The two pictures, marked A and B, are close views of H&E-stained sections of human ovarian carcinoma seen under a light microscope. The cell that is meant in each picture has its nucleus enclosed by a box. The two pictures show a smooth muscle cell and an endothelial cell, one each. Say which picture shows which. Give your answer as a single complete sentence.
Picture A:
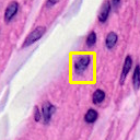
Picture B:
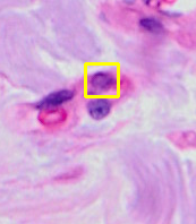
The cell in picture A is a smooth muscle cell, and the one in picture B is an endothelial cell.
